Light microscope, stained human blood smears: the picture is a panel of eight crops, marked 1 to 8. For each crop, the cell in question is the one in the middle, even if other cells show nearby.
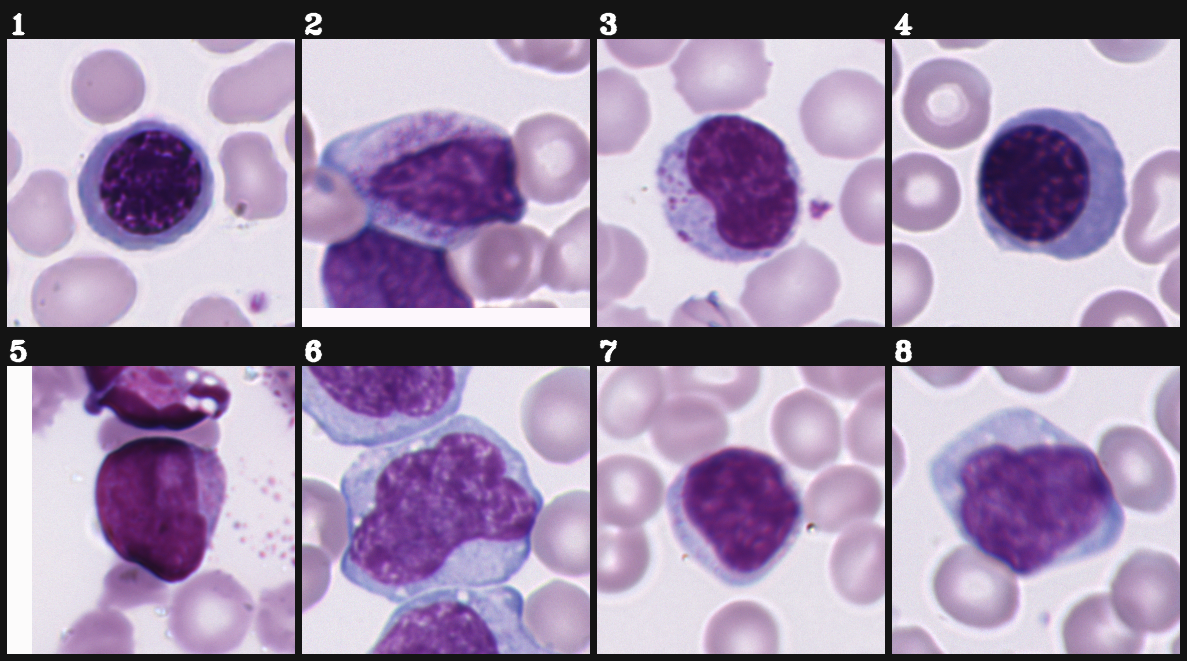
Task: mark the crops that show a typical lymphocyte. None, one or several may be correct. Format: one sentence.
The central cell of each crop is something other than a typical lymphocyte.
